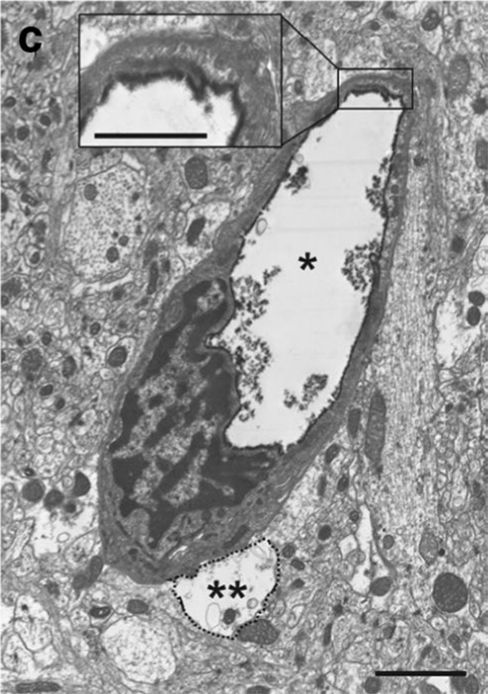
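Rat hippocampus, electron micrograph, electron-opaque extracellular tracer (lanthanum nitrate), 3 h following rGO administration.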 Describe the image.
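A brain capillary is cut obliquely, its pale lumen lined by an endothelial cell with a large, irregular nucleus of dark clumped chromatin. Beside the vessel lies a pale, swollen, nearly empty profile against the outer wall. The surrounding neuropil contains many small processes and round mitochondria.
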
